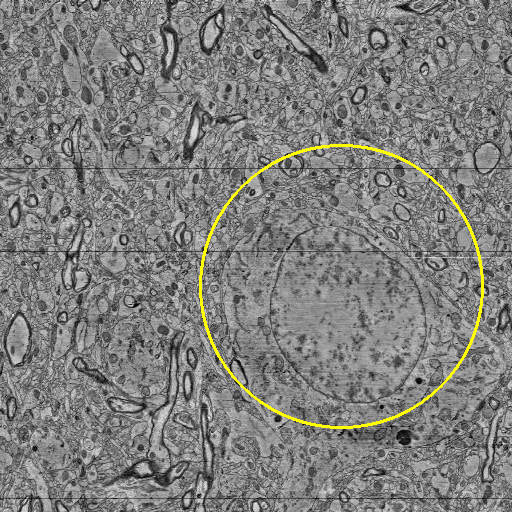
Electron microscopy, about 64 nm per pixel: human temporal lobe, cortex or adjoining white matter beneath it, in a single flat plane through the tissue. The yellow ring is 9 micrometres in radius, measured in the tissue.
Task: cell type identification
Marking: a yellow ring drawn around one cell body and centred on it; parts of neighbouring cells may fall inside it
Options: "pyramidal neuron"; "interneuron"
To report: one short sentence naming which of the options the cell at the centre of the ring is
The cell at the centre of the ring is a pyramidal neuron.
